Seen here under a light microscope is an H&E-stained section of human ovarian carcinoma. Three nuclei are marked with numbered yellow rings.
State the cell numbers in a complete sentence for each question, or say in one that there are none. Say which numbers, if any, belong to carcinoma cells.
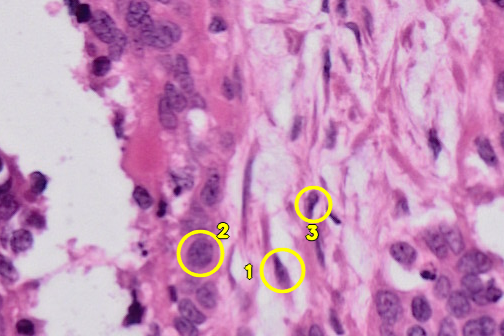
Among the cells marked with numbers, the only one that is a carcinoma cell is number 2.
